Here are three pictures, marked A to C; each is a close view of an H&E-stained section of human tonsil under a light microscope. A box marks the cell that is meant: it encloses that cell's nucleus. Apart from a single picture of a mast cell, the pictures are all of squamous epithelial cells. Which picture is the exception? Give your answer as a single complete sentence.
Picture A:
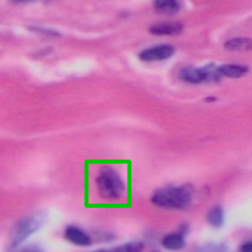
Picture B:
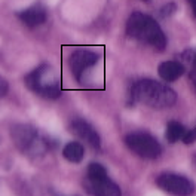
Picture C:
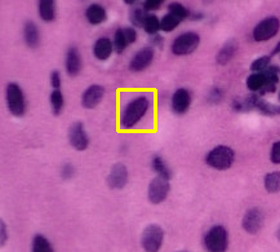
Picture A is the one that shows the mast cell.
